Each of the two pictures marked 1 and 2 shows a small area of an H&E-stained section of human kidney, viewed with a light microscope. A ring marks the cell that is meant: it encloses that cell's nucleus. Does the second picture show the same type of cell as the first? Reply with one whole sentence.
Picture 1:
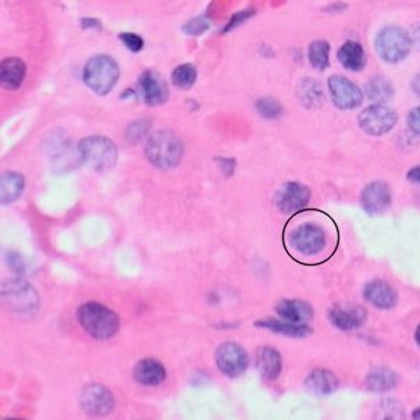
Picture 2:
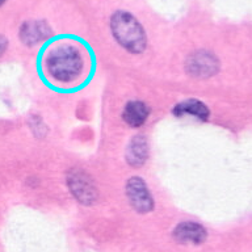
Yes, they are the same type: both are “loop of Henle or distal tubule cells”.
